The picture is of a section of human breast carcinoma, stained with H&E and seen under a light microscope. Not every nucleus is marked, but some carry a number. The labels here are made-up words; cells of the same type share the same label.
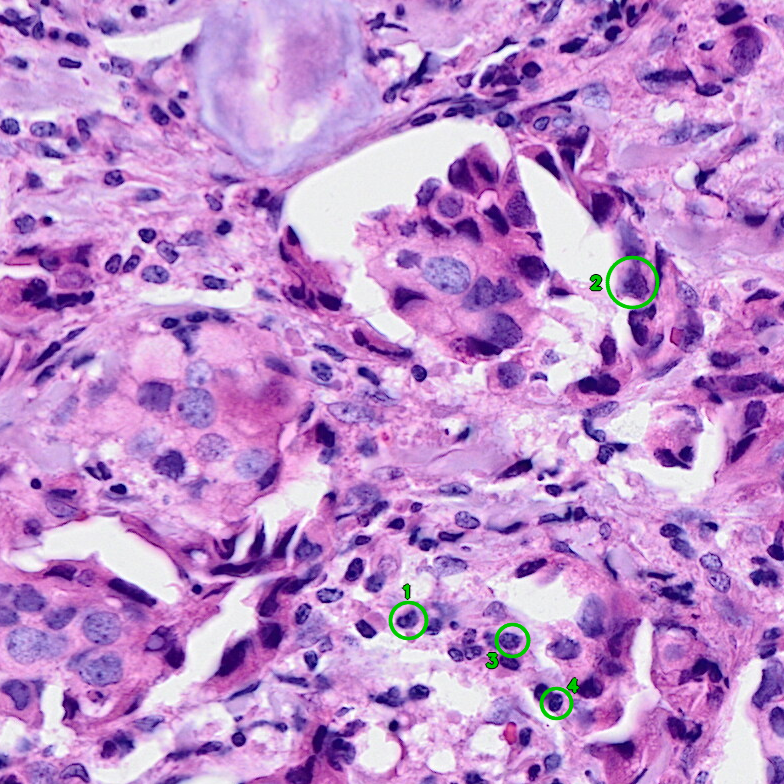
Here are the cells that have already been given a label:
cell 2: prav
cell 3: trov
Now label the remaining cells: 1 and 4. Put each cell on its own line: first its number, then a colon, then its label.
1: trov
4: trov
